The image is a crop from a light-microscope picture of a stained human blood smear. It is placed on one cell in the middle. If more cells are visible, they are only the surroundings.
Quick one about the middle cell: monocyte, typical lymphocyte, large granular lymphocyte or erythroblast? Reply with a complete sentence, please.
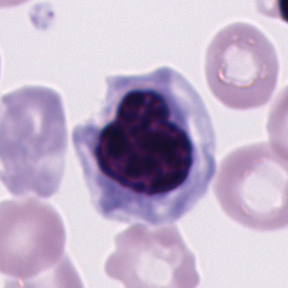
The cell marked by its central position in the crop is an erythroblast.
